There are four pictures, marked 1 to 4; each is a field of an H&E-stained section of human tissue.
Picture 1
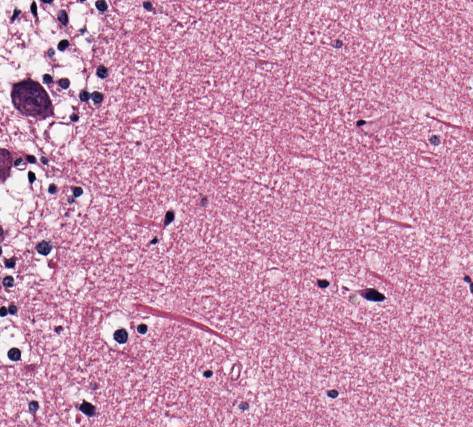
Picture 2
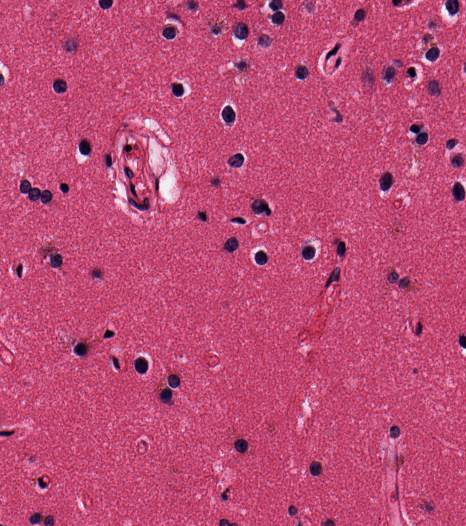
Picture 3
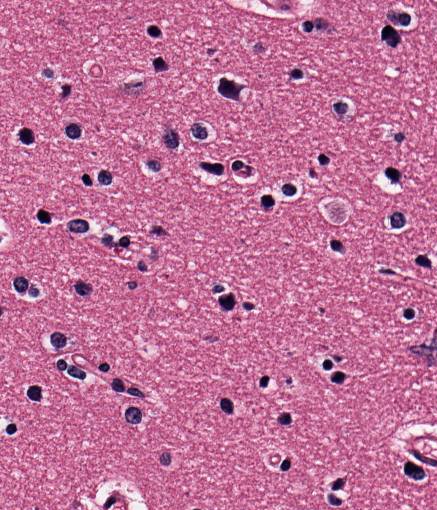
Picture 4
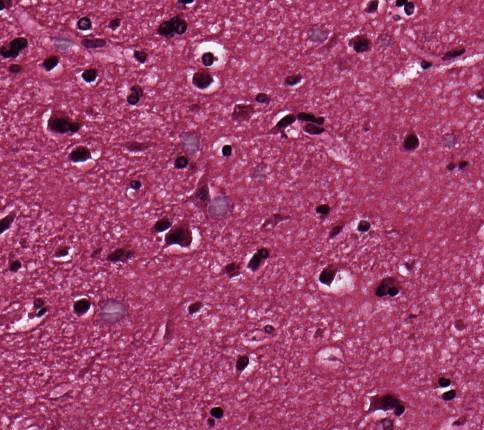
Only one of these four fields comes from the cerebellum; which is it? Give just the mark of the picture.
1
